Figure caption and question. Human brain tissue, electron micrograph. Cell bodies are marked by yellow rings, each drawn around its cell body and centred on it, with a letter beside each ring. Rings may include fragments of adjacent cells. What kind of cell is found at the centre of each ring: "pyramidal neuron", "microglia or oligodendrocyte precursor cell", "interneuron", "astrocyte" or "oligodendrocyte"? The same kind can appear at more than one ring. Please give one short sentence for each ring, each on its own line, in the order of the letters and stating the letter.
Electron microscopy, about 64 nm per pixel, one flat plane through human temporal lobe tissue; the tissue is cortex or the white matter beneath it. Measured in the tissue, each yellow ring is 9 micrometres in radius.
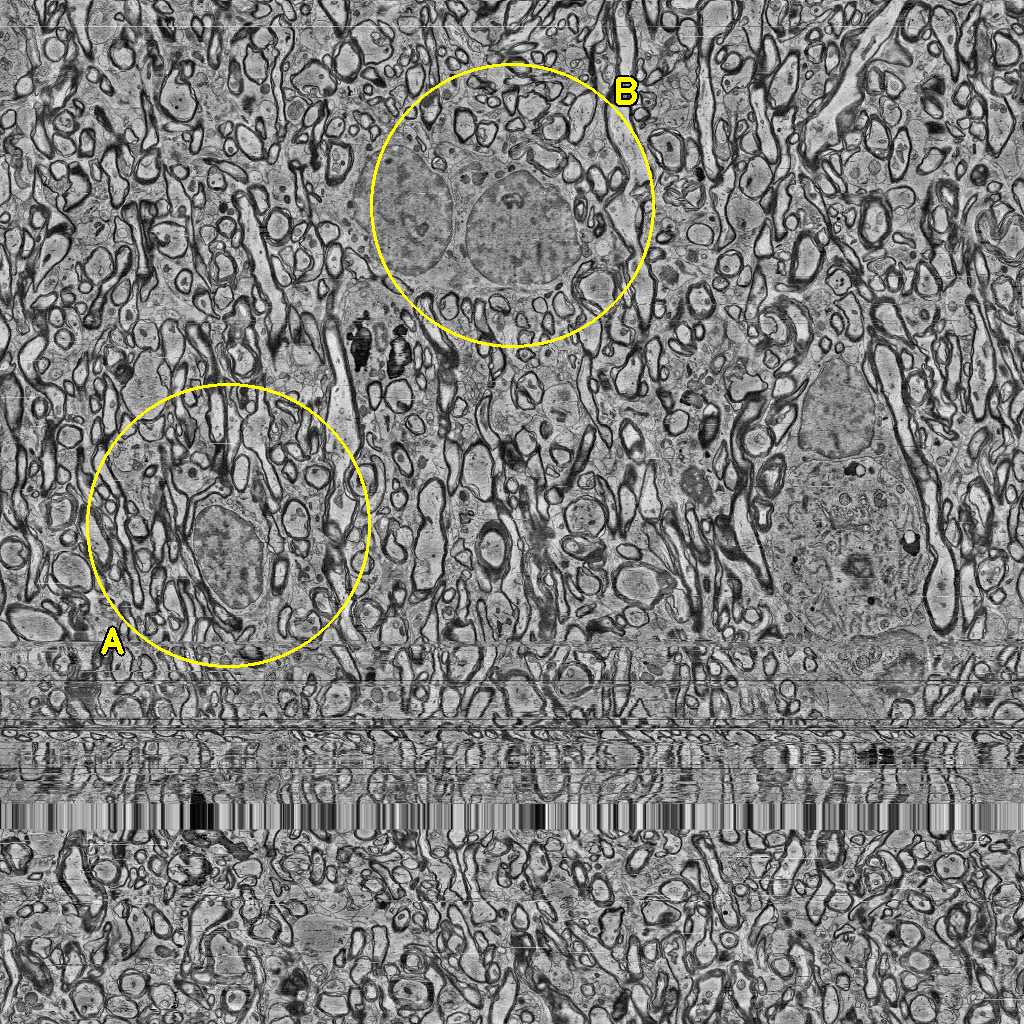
The centre of ring A falls on a microglial cell or oligodendrocyte precursor cell.
The centre of ring B falls on an oligodendrocyte.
